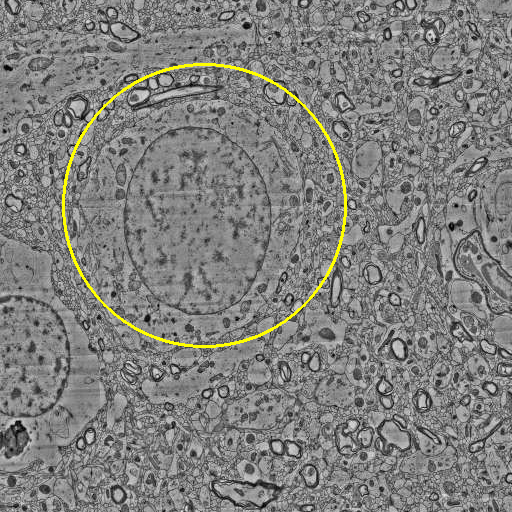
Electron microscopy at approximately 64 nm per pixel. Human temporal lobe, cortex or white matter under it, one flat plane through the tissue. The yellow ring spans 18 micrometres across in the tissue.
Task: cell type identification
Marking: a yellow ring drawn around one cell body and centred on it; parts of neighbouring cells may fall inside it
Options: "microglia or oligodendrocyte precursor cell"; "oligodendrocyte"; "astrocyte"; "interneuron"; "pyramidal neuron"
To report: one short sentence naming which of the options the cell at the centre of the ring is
The cell at the centre of the ring is an interneuron.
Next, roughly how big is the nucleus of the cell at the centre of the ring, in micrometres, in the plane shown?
In this plane, the nucleus is roughly 12 by 10 micrometres.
